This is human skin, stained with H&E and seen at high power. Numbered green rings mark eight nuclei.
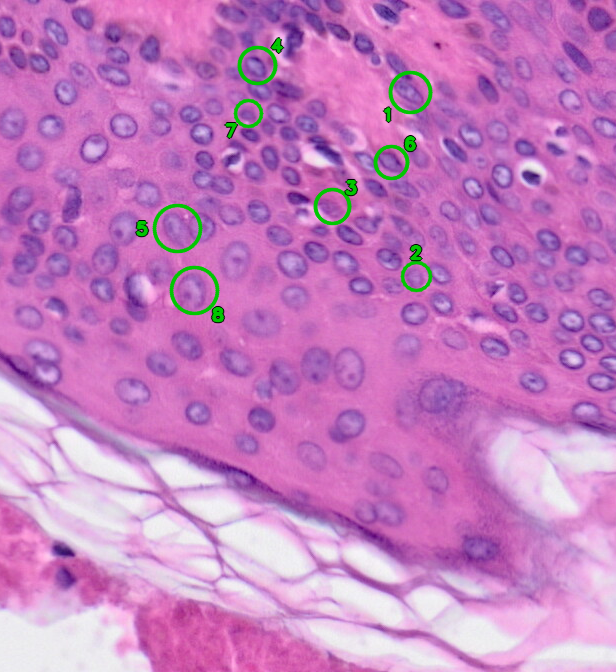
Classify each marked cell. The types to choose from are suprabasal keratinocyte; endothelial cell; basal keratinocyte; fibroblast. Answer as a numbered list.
1. basal keratinocyte
2. suprabasal keratinocyte
3. basal keratinocyte
4. basal keratinocyte
5. suprabasal keratinocyte
6. basal keratinocyte
7. basal keratinocyte
8. suprabasal keratinocyte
